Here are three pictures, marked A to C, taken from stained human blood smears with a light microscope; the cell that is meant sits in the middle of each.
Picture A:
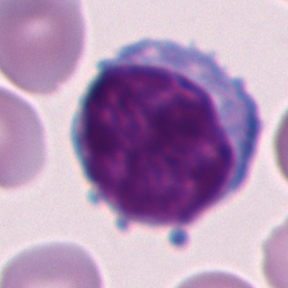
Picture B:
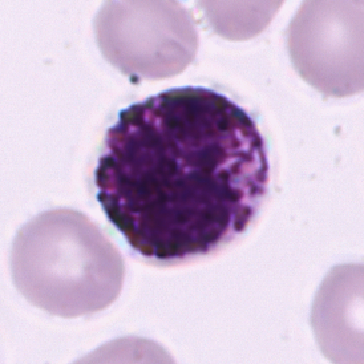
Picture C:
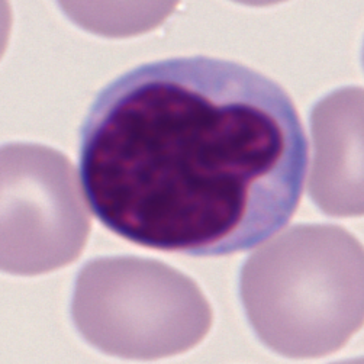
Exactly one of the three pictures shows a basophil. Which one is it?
B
